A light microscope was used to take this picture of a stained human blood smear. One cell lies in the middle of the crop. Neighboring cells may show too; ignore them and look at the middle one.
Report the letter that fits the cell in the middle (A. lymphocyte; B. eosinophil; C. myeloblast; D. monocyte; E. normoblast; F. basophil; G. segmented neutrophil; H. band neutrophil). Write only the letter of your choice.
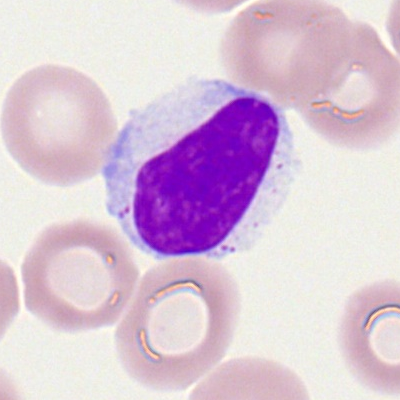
A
